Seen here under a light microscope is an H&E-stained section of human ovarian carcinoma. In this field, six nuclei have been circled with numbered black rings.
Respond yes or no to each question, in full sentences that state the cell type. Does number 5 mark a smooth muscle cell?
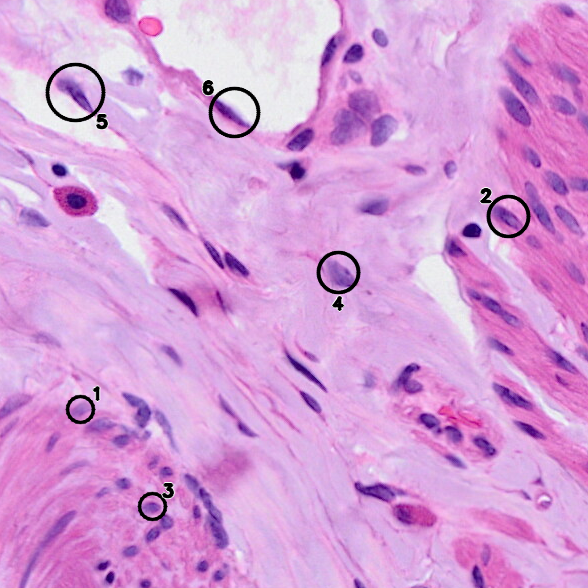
No, the cell given the number 5 is an endothelial cell, so not a smooth muscle cell.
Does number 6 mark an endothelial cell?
Yes, the cell whose number is 6 is an endothelial cell.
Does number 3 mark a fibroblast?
No, cell 3 is not a fibroblast at all but a smooth muscle cell.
